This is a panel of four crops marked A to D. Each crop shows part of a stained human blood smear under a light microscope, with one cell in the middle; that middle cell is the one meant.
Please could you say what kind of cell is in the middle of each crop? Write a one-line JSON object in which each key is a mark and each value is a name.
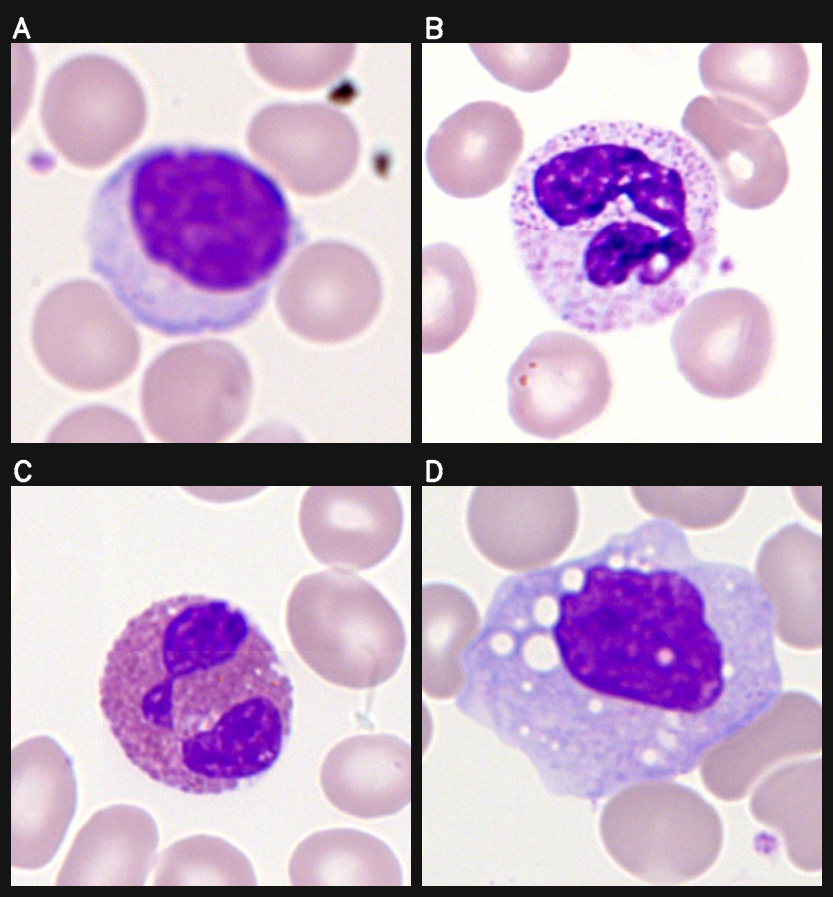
{"A": "lymphocyte", "B": "segmented neutrophil", "C": "eosinophil", "D": "monocyte"}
